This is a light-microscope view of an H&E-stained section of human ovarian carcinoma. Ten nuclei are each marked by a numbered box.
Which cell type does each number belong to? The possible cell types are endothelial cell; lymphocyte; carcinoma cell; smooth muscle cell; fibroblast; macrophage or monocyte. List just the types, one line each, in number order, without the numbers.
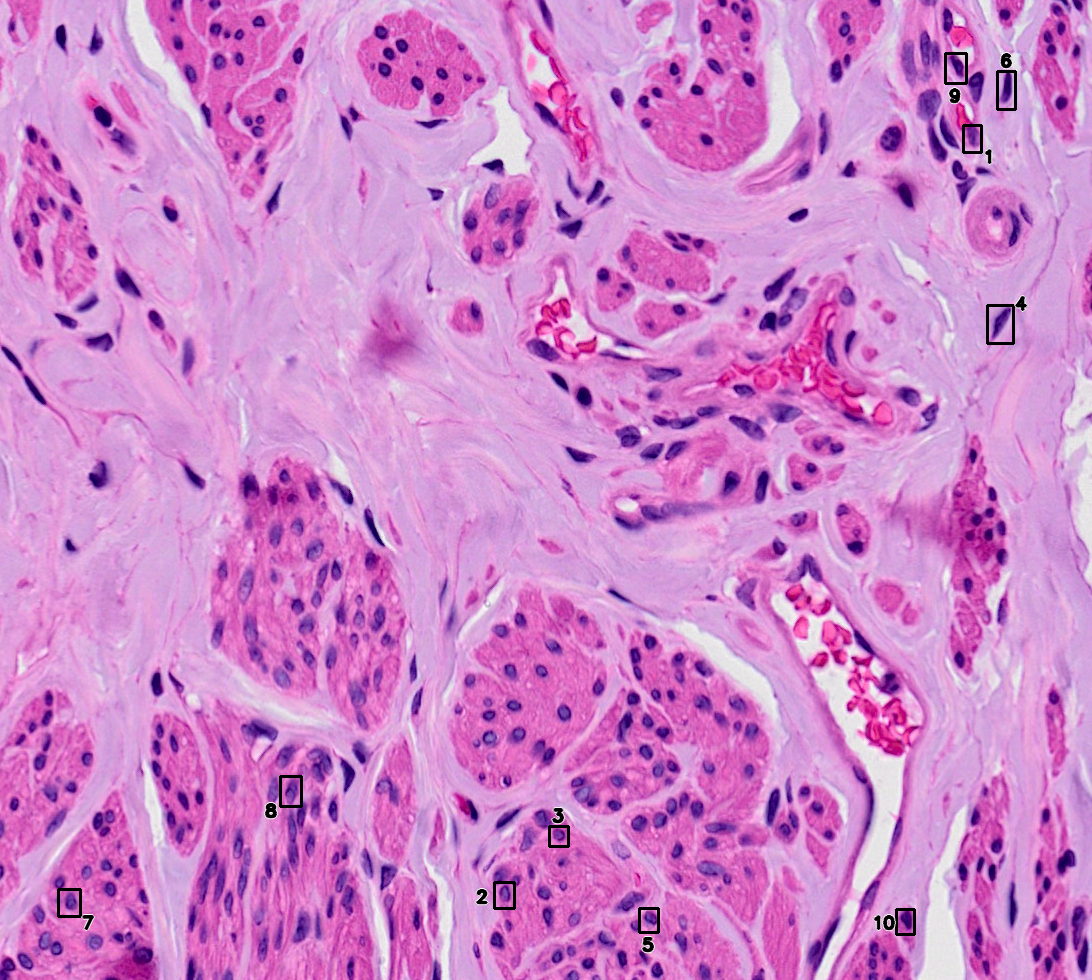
endothelial cell
smooth muscle cell
smooth muscle cell
fibroblast
smooth muscle cell
fibroblast
smooth muscle cell
smooth muscle cell
endothelial cell
smooth muscle cell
